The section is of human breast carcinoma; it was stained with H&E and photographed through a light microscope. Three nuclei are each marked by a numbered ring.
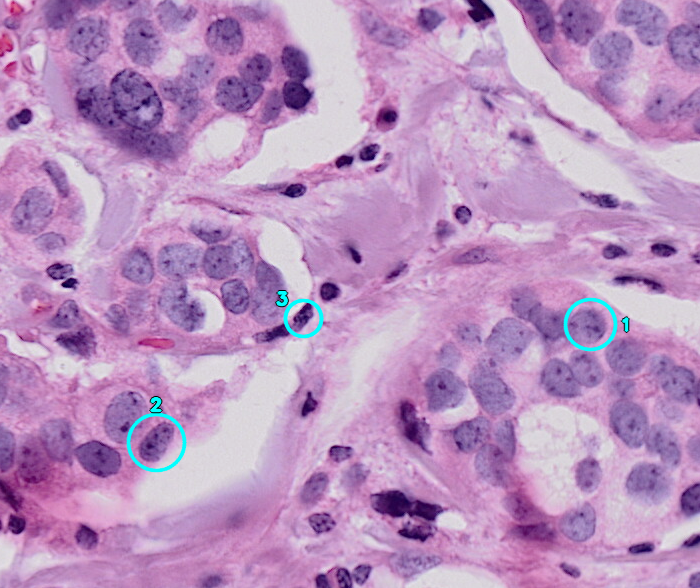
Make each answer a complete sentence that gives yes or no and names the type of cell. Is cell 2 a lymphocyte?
No, number 2 does not mark a lymphocyte; it marks a carcinoma cell.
